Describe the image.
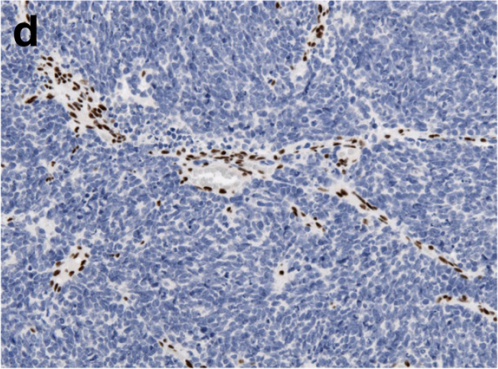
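Densely cellular tumor tissue made of crowded tumor cells with oval to slightly irregular nuclei. Thin branching strands of small vessels cross the field. Elongated nuclei lining these vessels are stained dark brown, standing out against the blue tumor cells. The tumor cells lie in solid sheets with scant visible cytoplasm.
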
